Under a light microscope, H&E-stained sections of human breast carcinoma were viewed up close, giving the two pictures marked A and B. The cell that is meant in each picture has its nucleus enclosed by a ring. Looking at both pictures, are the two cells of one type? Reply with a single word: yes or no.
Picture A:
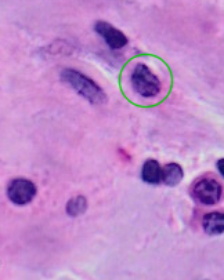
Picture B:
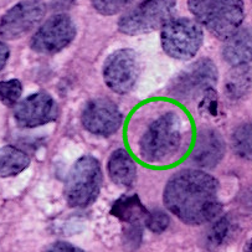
no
